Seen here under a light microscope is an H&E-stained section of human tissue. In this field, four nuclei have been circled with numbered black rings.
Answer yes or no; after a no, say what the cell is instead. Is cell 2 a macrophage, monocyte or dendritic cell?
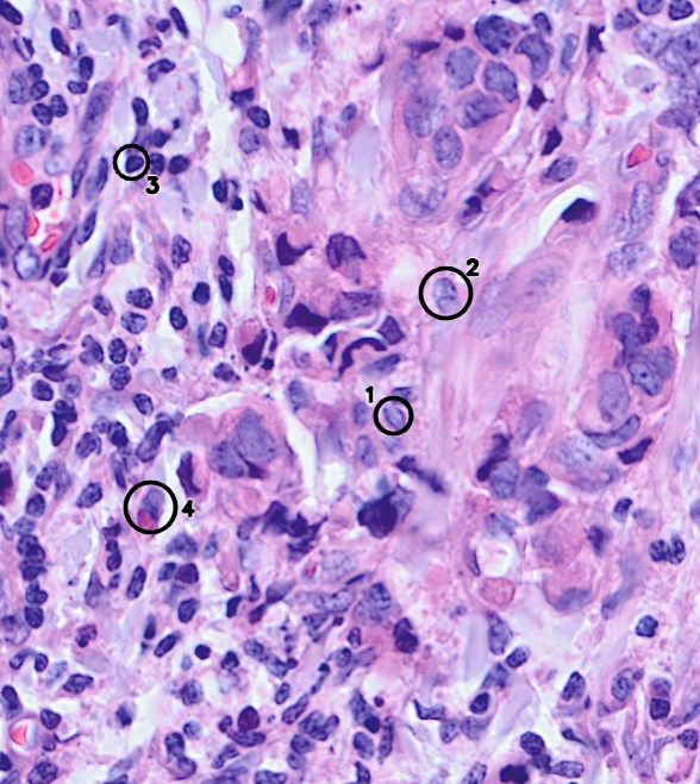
Yes.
